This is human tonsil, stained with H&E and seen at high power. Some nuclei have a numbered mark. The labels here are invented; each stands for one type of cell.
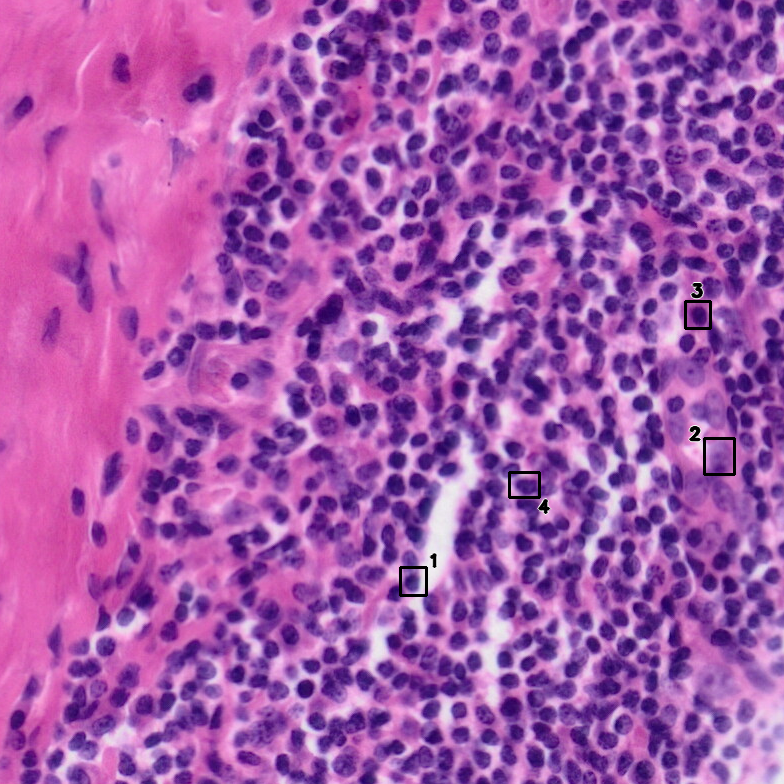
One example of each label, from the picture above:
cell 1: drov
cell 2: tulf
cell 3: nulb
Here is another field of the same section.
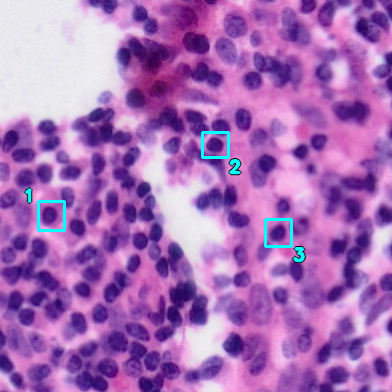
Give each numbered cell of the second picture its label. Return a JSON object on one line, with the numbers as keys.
{"1": "nulb", "2": "drov", "3": "tulf"}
